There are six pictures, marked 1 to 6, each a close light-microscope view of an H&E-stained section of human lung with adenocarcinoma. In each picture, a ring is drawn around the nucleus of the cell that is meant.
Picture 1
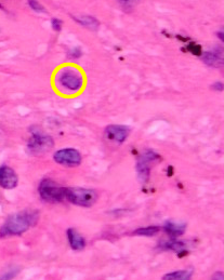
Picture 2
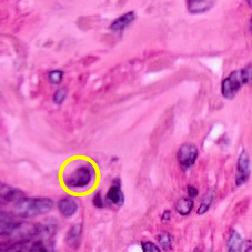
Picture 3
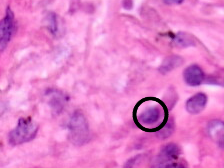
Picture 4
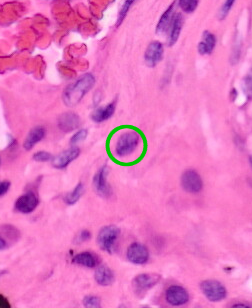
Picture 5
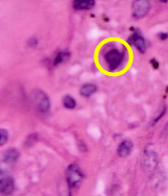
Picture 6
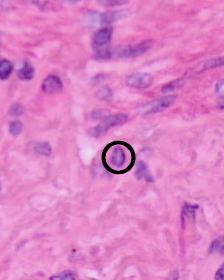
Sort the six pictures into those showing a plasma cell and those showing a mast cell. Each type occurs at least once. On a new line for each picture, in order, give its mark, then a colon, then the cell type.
1: mast cell
2: plasma cell
3: plasma cell
4: mast cell
5: plasma cell
6: mast cell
